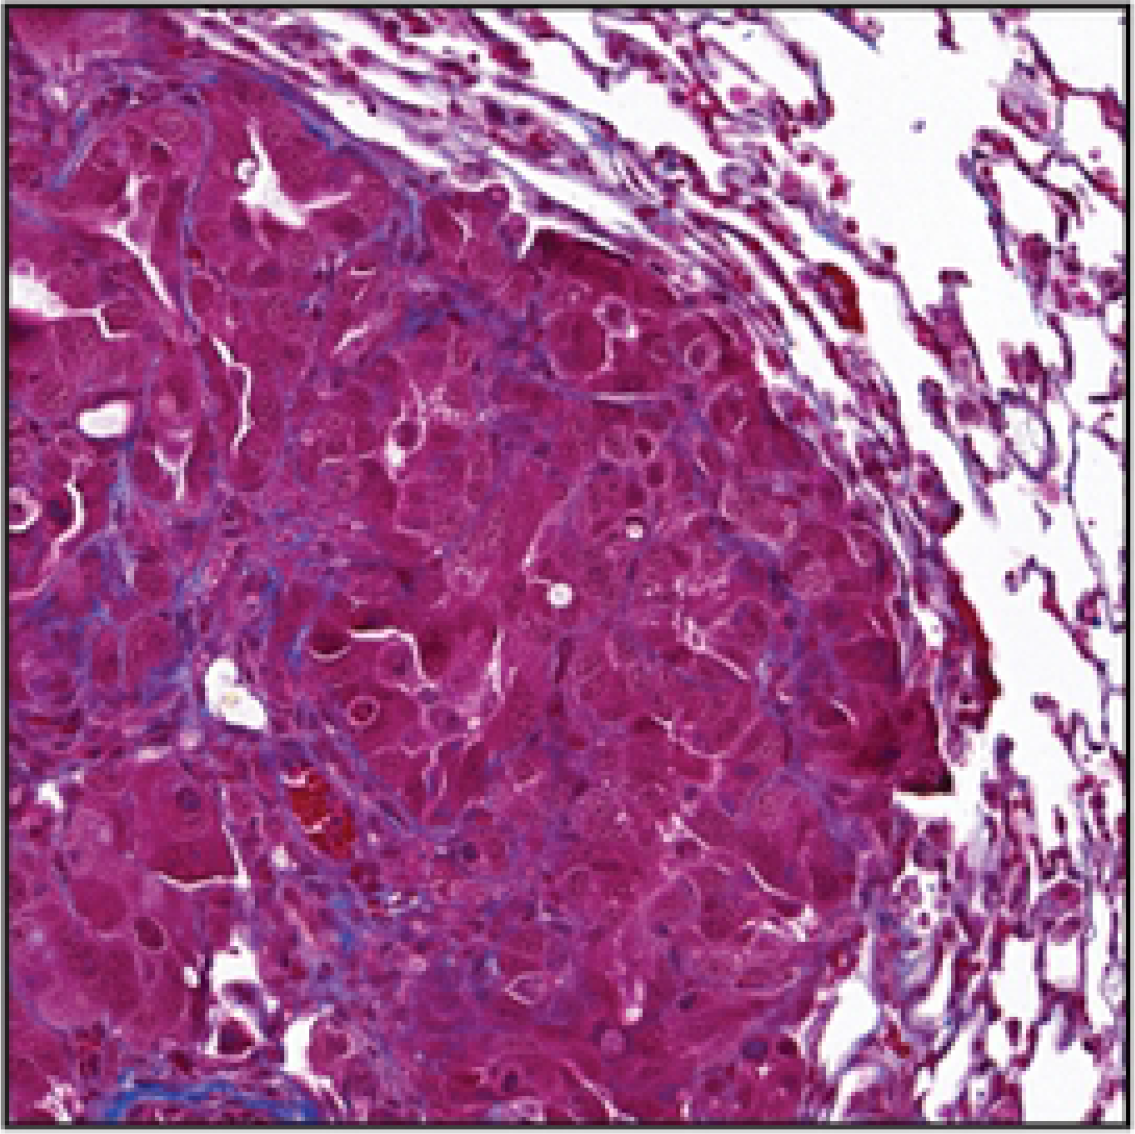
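This is a large solid lung tumor made of sheets of crowded tumor cells. Thin strands of blue collagen weave between groups of cells, and a denser blue band lies at the lower left. Small clear spaces and a few vessels with red blood cells are scattered through the mass. At the upper right the tumor borders a rim of compressed, looser lung tissue with elongated cells.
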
